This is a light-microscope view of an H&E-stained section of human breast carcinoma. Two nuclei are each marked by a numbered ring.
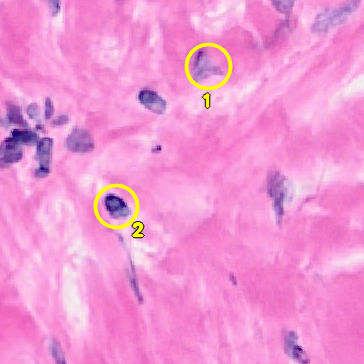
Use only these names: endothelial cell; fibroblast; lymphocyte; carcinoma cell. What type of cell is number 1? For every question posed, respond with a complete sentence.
The cell indicated with the number 1 is classed as a fibroblast.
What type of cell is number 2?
Cell 2 is classified as a lymphocyte.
